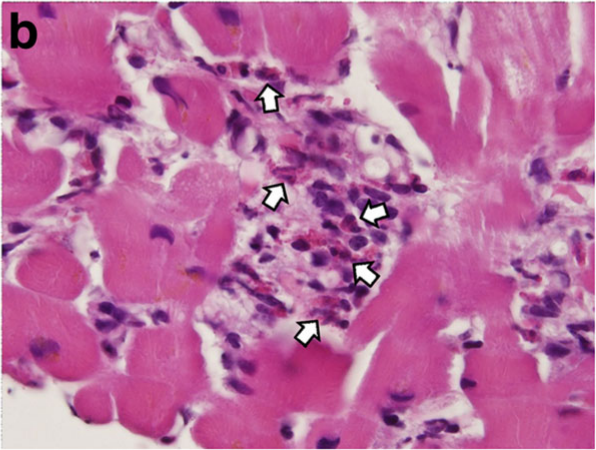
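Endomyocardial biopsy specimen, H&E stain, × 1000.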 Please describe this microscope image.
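Heart muscle tissue in which eosinophils infiltrate the interstitium between cardiac muscle fibres. The muscle fibres appear as large pink cytoplasmic profiles, cut partly across and partly along their length, with occasional dark elongated nuclei. Between them lies a loose, pale interstitial space crowded with small inflammatory cells. The infiltrate spreads diffusely through the spaces between fibres rather than forming a sharply bounded mass.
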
